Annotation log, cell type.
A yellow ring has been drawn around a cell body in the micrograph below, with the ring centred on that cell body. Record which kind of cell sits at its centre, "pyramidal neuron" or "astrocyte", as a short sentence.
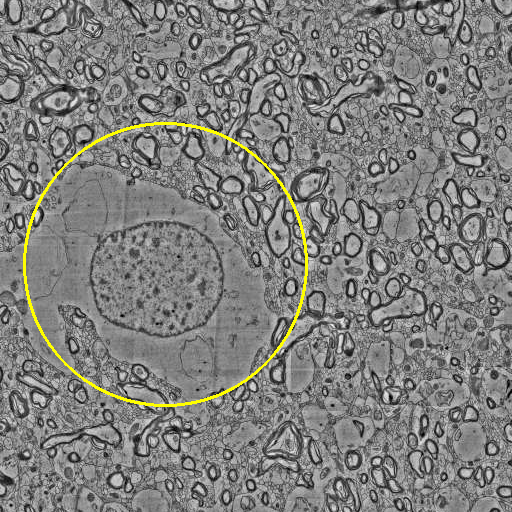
The cell at the centre of this ring is an astrocyte.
